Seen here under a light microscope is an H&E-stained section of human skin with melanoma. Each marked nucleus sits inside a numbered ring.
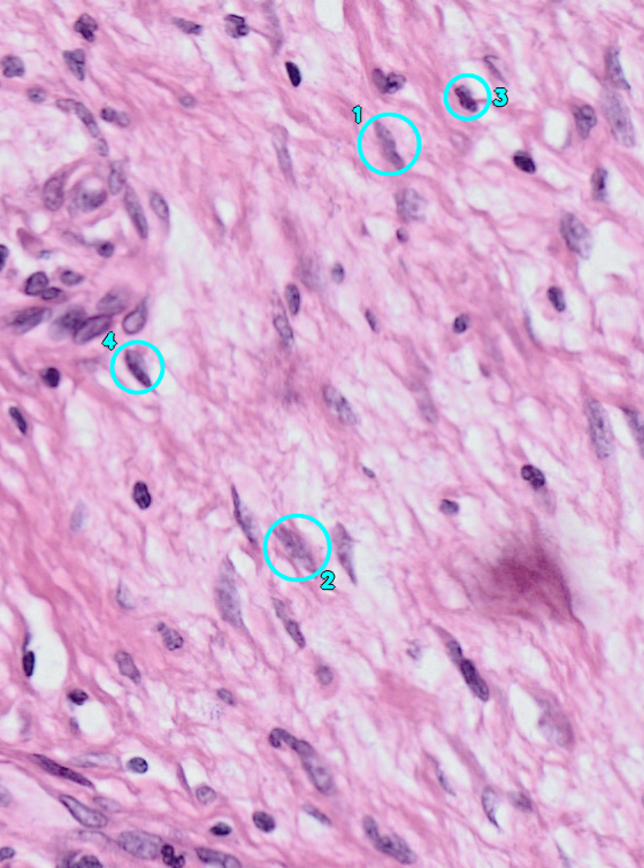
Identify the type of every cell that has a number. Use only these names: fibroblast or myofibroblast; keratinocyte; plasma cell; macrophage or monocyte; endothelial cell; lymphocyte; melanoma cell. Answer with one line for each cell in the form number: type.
1: fibroblast or myofibroblast
2: fibroblast or myofibroblast
3: lymphocyte
4: fibroblast or myofibroblast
